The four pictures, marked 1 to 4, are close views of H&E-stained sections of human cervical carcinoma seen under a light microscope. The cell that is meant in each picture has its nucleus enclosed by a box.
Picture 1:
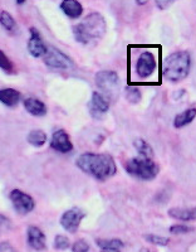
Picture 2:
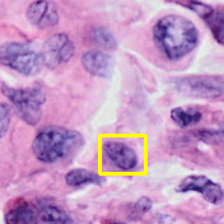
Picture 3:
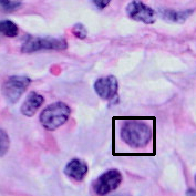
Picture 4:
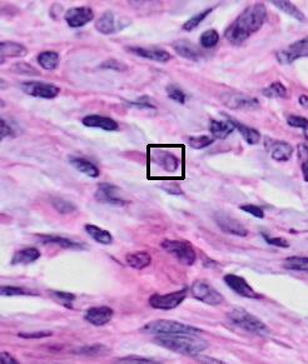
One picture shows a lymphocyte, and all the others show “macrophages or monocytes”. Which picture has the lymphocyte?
1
